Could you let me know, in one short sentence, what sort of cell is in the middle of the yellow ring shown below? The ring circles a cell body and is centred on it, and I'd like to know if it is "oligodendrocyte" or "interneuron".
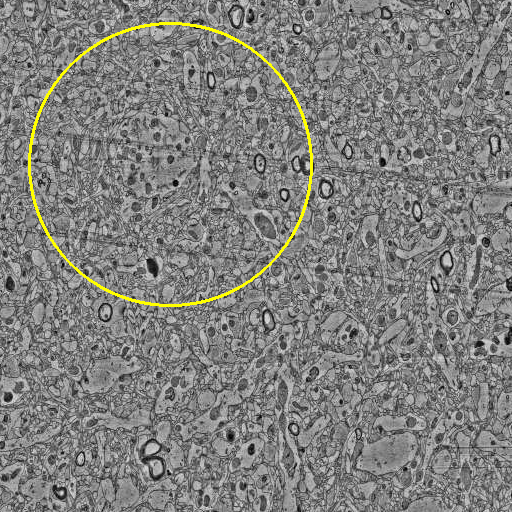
The ring circles the cell body of an interneuron.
